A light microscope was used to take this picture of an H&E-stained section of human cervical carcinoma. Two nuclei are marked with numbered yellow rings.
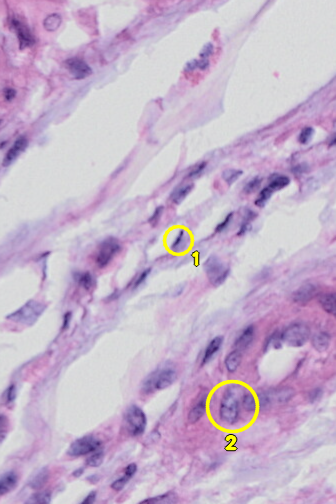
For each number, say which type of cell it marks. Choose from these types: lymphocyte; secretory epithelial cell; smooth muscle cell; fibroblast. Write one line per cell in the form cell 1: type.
cell 1: fibroblast
cell 2: smooth muscle cell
